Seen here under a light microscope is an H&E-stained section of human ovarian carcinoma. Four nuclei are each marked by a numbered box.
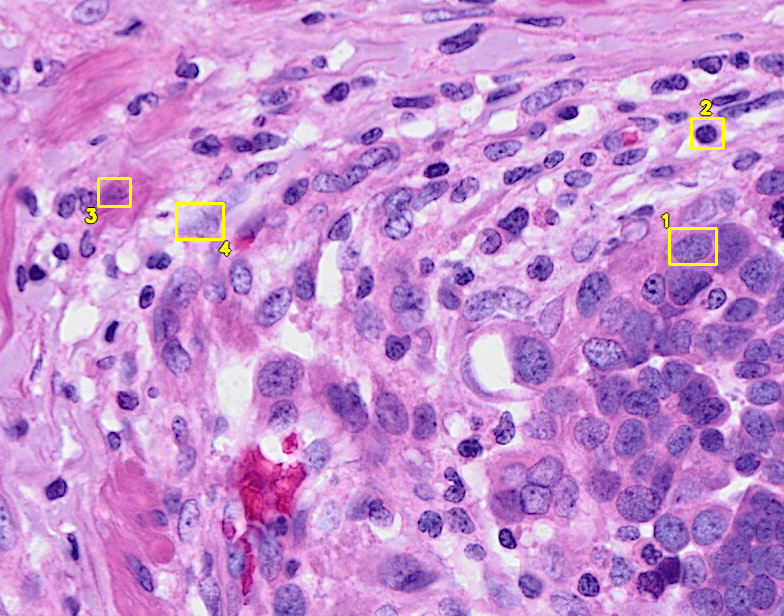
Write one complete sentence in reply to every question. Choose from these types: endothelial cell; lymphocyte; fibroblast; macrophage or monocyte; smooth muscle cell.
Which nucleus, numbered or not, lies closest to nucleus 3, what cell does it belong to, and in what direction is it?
The nearest one is a macrophage or monocyte, found to the left of nucleus 3.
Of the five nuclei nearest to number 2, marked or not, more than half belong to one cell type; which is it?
Macrophages or monocytes make up most of the five nuclei closest to number 2.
